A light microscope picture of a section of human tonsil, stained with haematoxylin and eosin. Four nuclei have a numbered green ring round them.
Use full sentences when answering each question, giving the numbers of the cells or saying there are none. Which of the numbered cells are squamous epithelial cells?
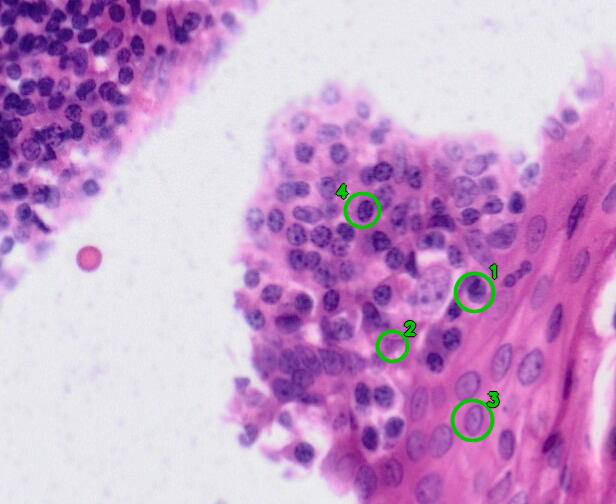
The cells numbered 1, 2 and 3 are of the kind known as squamous epithelial cells.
